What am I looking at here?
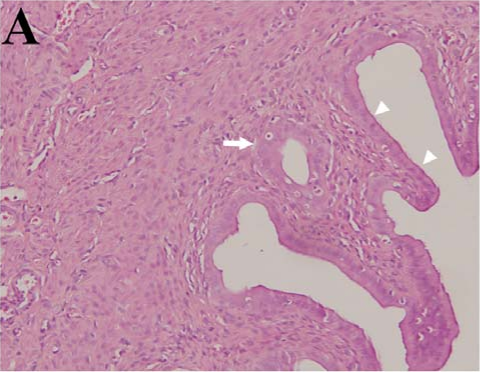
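This is endometrium with glands set in a dense cellular stroma. On the right, large irregular gland lumina with fold-like projections are lined by a single layer of tall columnar epithelial cells with purple nuclei and pink cytoplasm. Near the centre a small round gland has an open lumen ringed by epithelial cells. Around the glands the stroma is crowded with closely packed oval to spindle-shaped stromal cells with dark oval nuclei and scant pink cytoplasm. A few small thin-walled vessels are scattered through the stroma, mostly towards the left edge.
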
